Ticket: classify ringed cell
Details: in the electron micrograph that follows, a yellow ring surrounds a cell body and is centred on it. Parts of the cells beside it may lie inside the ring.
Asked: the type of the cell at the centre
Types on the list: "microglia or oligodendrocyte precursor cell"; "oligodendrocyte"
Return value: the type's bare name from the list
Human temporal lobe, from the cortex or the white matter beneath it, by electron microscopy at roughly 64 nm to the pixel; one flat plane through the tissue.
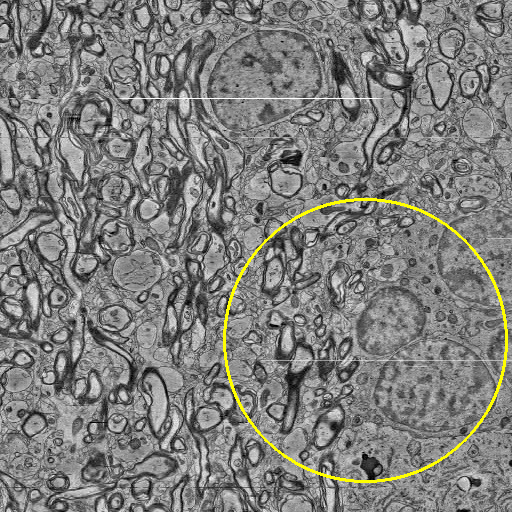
oligodendrocyte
